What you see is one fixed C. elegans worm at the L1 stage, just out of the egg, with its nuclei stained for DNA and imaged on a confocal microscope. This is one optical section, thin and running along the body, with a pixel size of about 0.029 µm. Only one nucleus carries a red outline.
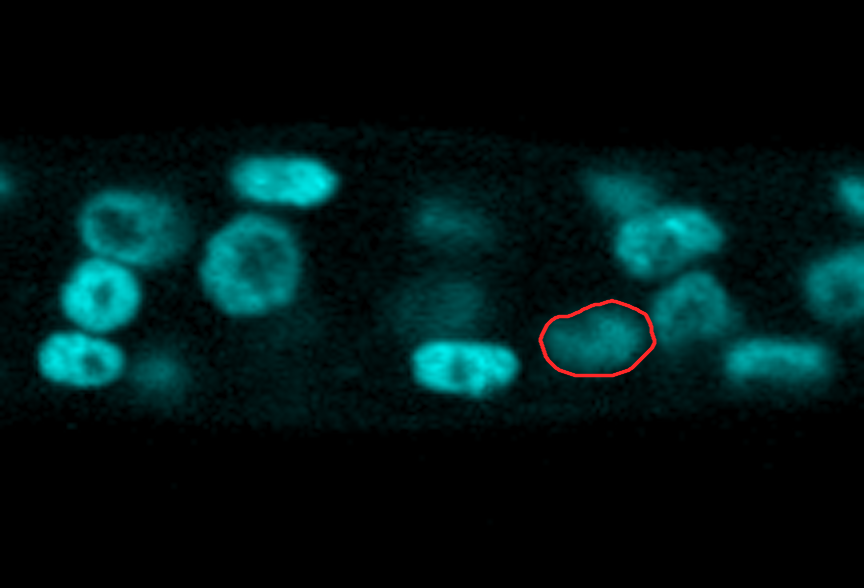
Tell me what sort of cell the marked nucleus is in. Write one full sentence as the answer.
This is the nucleus of a P cell (ventral epidermal blast cell).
